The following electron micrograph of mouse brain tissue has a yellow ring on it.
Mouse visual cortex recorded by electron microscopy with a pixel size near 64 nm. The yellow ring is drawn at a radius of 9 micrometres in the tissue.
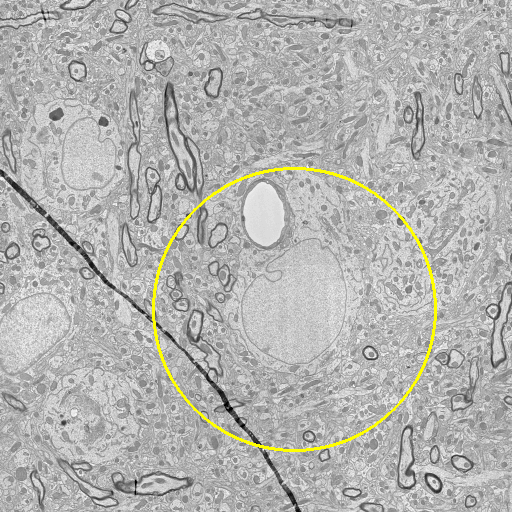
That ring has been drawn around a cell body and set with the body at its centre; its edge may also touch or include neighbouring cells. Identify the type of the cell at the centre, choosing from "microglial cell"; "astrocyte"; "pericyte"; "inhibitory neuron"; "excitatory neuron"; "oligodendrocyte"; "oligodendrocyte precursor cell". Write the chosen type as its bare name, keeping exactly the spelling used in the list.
excitatory neuron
